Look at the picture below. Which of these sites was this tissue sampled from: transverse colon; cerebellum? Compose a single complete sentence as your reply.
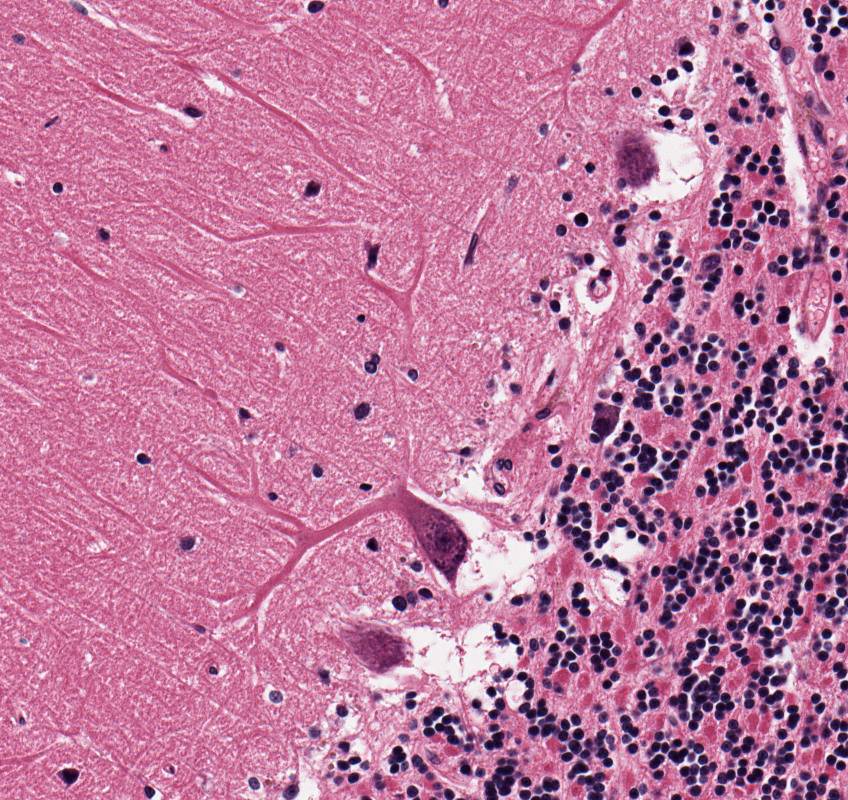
This section was cut from tissue of the cerebellum.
